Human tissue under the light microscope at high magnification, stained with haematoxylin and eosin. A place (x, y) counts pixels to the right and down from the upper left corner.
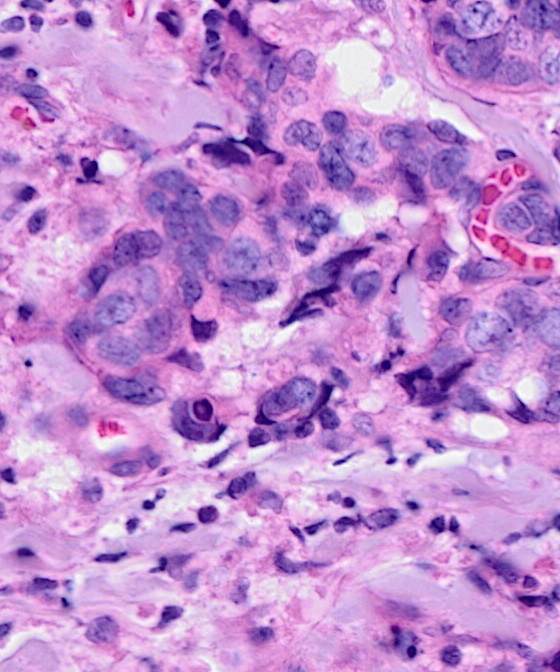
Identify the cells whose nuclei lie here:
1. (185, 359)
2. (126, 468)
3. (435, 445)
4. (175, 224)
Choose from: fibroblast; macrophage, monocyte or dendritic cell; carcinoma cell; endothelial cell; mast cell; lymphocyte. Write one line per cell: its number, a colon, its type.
1: carcinoma cell
2: endothelial cell
3: lymphocyte
4: carcinoma cell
